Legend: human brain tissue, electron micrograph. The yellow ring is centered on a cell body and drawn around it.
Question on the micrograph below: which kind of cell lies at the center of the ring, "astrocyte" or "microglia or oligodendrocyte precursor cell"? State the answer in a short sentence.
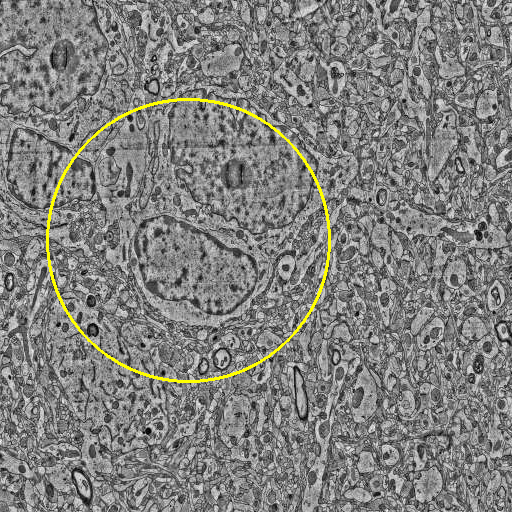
At the center of the ring lies a microglial cell or oligodendrocyte precursor cell.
